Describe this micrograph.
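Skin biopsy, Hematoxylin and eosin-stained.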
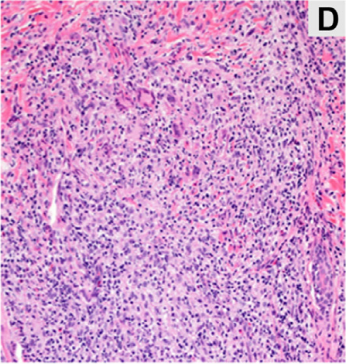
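Dermis with granulomatous inflammation mixed with lymphoid cells. Pale pink epithelioid histiocytes with oval, vesicular nuclei form a loose aggregate in the centre. A few multinucleated giant cells lie among them. Numerous small cells with dark round nuclei surround and intermingle with the histiocytes.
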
